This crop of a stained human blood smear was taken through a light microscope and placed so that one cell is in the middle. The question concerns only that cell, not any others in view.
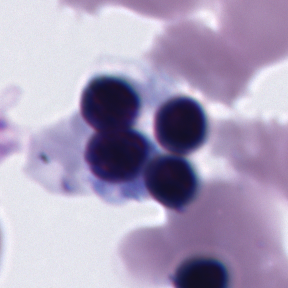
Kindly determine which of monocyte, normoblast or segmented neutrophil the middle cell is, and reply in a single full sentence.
What sits at the centre of this crop is a normoblast.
